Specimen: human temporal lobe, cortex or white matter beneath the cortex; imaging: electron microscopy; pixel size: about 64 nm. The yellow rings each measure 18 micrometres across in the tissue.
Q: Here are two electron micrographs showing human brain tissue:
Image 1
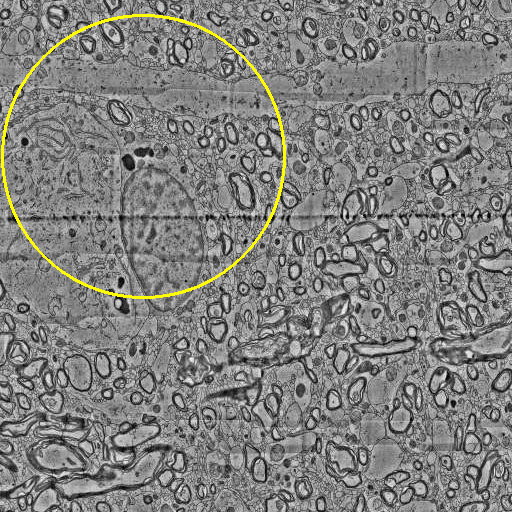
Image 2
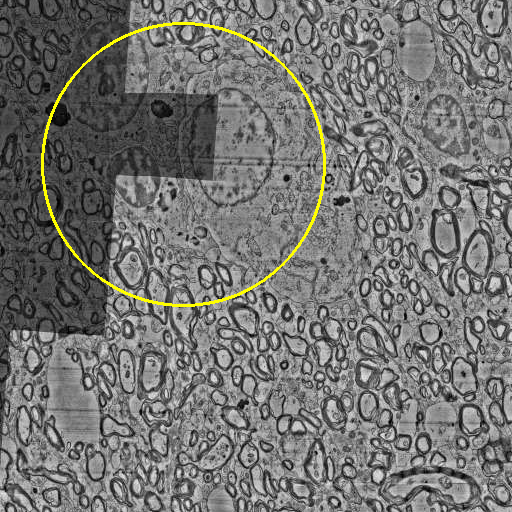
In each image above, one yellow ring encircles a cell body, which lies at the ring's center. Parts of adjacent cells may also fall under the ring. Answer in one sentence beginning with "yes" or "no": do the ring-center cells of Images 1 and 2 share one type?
Yes, in Images 1 and 2, the ring-center cells are both of one type.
